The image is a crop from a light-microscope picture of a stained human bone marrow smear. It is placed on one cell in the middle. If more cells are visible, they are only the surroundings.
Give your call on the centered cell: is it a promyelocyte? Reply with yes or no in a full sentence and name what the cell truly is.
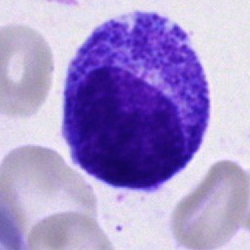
Yes, what sits in the centre of the crop is a promyelocyte.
